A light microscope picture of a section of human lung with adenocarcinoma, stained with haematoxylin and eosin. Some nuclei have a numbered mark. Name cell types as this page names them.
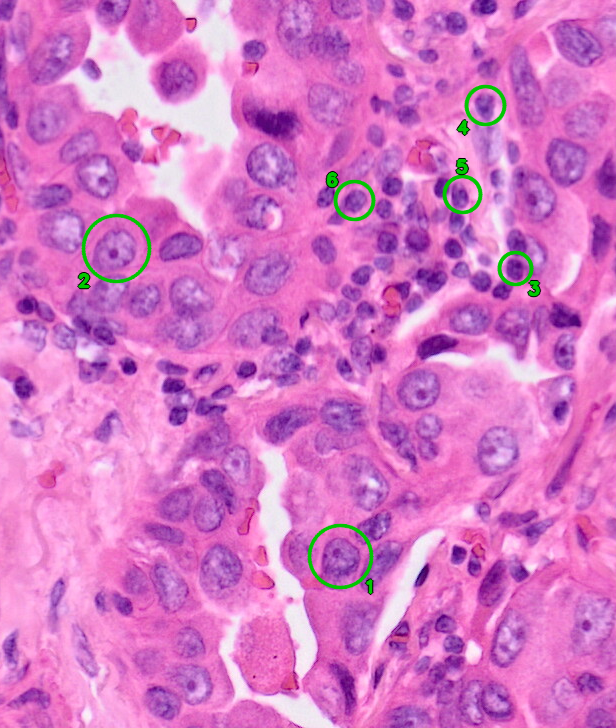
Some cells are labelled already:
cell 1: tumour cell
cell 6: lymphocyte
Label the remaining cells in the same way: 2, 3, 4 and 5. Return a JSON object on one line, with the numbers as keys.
{"2": "tumour cell", "3": "lymphocyte", "4": "lymphocyte", "5": "lymphocyte"}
